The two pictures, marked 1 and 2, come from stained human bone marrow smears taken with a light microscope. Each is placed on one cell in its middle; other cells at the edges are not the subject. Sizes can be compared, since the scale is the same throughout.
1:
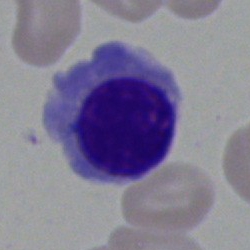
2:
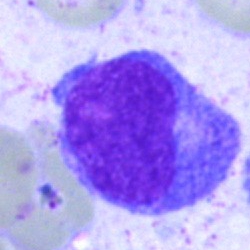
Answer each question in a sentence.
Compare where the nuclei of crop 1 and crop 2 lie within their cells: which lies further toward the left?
Seen within its cell, the nucleus in crop 2 lies further toward the left.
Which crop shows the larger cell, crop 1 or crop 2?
It is the cell in crop 2, about 1.5 times as large in area as the cell in crop 1.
